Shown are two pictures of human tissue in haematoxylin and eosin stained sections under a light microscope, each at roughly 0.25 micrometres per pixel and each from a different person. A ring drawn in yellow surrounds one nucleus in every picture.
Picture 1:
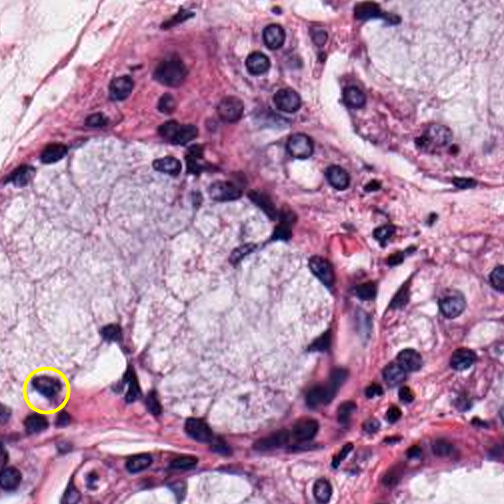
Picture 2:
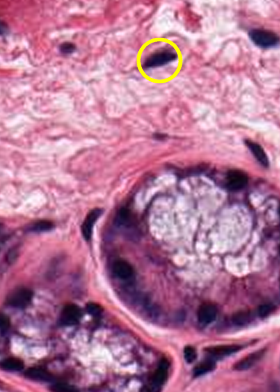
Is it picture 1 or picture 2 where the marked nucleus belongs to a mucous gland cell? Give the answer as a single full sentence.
Between the two pictures, it is picture 1 whose marked nucleus belongs to a mucous gland cell.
